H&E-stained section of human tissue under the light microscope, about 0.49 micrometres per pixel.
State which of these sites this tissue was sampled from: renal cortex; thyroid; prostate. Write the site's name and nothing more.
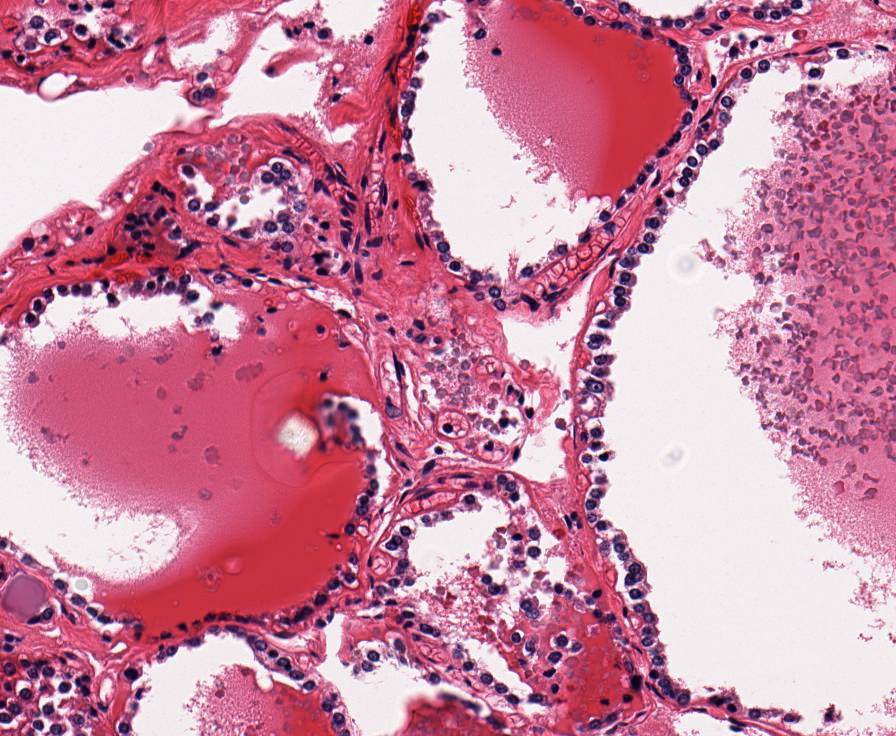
thyroid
